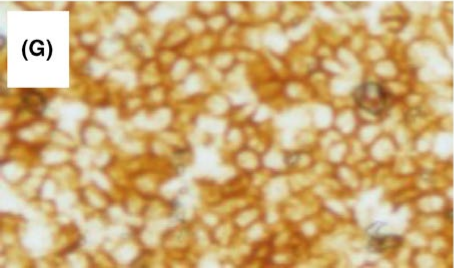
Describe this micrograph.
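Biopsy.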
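The cells are round and closely packed, roughly uniform in size. Strong brown stain outlines the surface of nearly every cell, giving a honeycomb-like net of rings. The centres of the cells stay pale, so the stain sits at the cell border rather than over the nucleus.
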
